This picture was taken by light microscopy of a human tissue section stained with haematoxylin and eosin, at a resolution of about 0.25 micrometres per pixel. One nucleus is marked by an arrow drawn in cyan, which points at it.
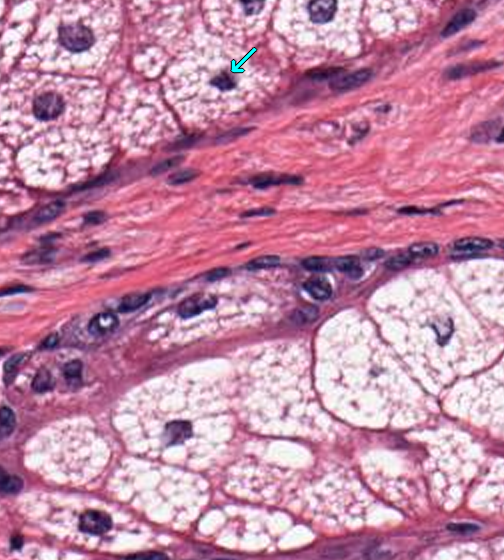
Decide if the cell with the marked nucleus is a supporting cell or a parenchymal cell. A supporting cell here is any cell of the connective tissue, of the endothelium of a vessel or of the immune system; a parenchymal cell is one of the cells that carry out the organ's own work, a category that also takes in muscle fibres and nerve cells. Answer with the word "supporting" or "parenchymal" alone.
parenchymal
